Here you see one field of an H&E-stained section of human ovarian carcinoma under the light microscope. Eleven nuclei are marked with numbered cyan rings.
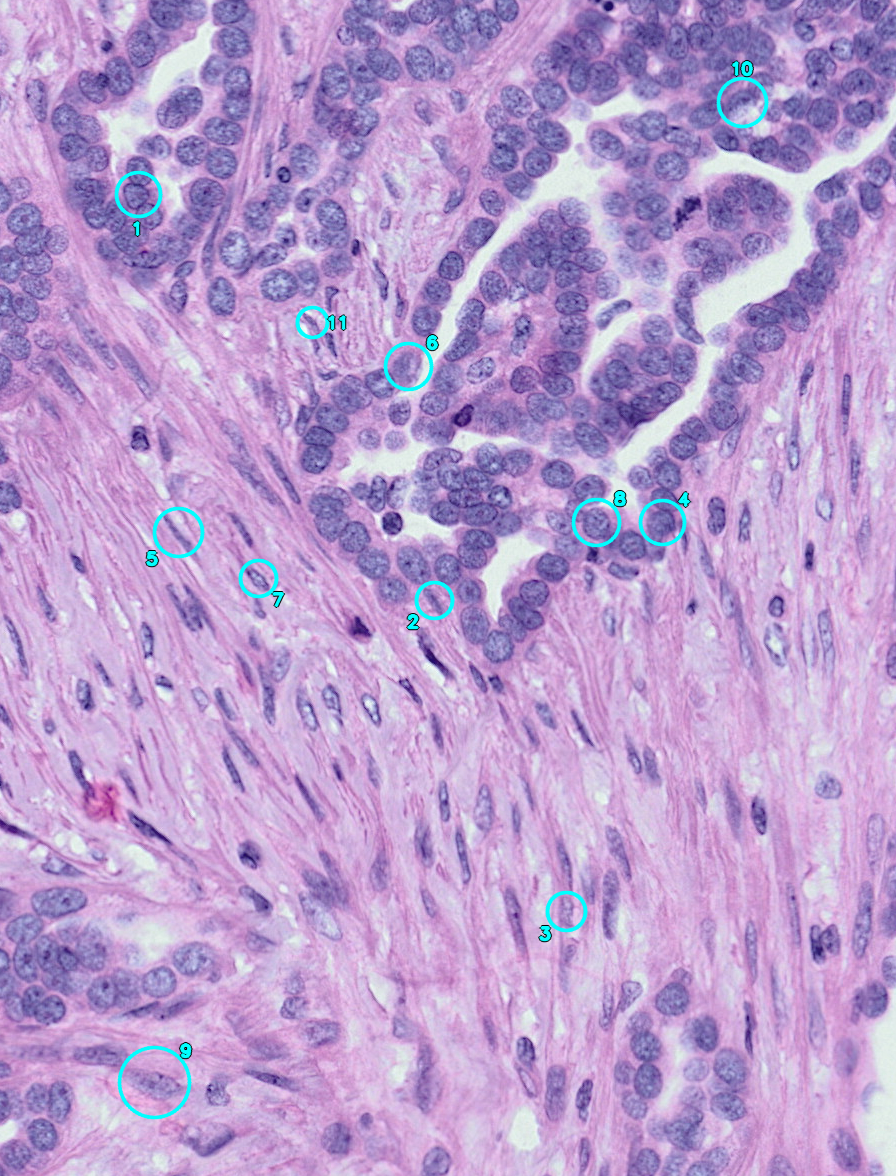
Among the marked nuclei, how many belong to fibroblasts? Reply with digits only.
6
